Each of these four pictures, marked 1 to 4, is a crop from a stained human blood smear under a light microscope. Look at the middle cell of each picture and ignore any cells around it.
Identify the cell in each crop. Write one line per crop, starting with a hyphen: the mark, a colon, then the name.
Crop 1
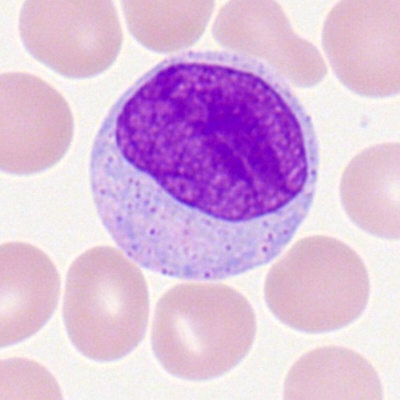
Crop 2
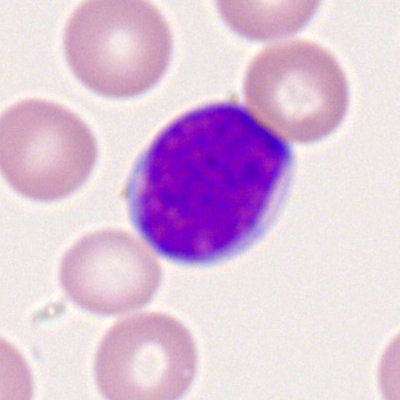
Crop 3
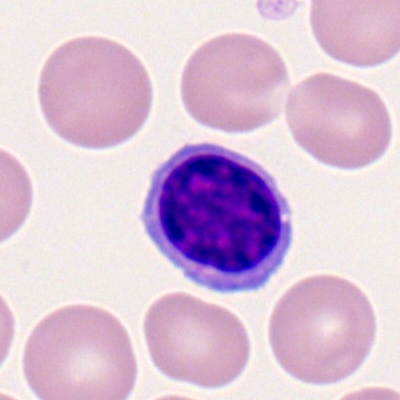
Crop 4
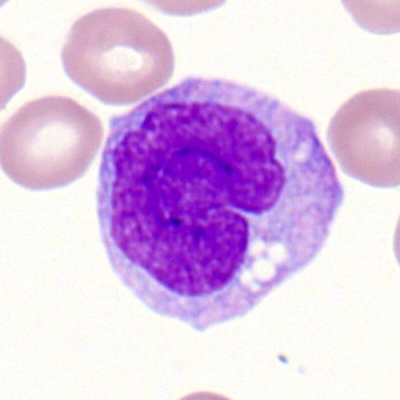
- 1: monocyte
- 2: blast
- 3: lymphocyte
- 4: monocyte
